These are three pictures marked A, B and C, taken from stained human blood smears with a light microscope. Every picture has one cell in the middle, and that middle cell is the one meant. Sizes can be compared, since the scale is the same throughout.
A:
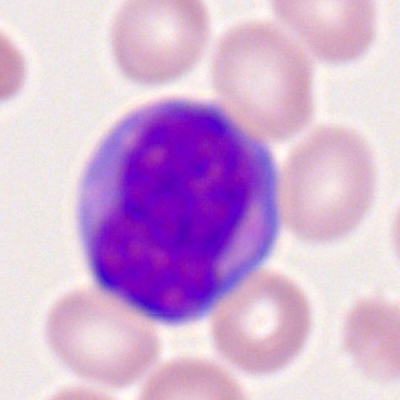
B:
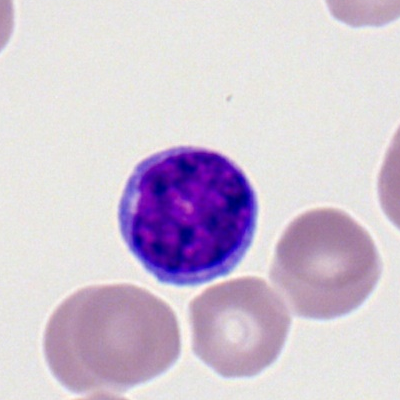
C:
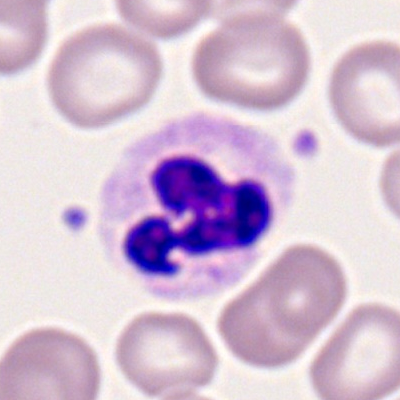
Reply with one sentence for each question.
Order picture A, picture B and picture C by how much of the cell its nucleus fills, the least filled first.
The least filled comes first: C, A, B.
